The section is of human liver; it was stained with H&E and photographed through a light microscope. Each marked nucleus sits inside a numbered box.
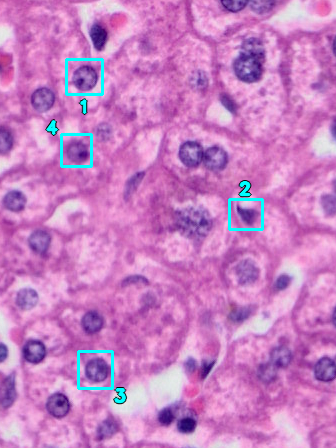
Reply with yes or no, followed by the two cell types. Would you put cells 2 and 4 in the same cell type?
No, while cell 2 is an endothelial cell, cell 4 is a hepatocyte.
